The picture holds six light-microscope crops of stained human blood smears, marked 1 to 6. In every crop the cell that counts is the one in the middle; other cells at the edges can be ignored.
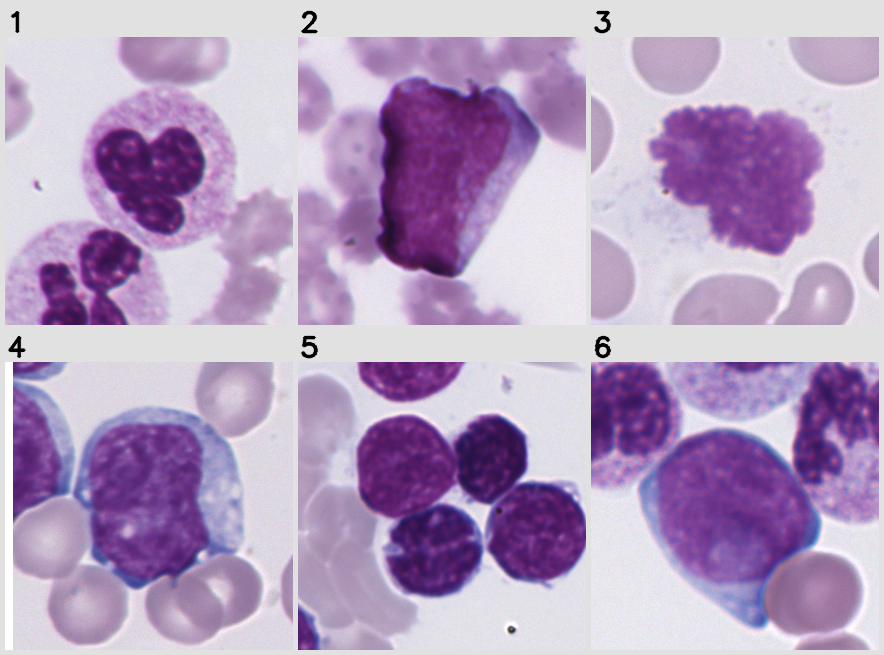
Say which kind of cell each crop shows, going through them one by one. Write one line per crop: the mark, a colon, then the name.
1: segmented neutrophil
2: myeloblast
3: smudge cell
4: myeloblast
5: myeloblast
6: myeloblast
